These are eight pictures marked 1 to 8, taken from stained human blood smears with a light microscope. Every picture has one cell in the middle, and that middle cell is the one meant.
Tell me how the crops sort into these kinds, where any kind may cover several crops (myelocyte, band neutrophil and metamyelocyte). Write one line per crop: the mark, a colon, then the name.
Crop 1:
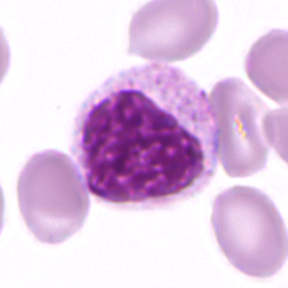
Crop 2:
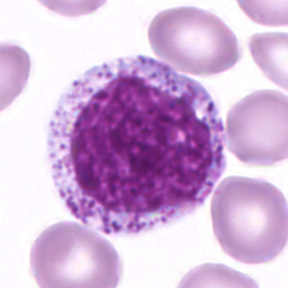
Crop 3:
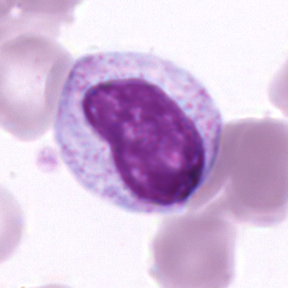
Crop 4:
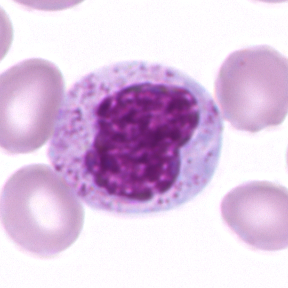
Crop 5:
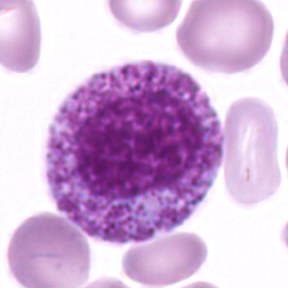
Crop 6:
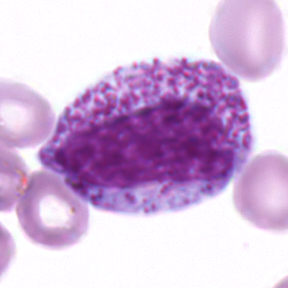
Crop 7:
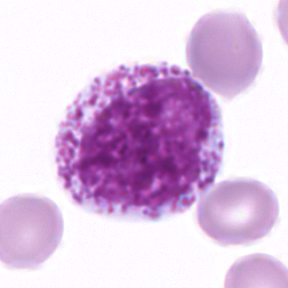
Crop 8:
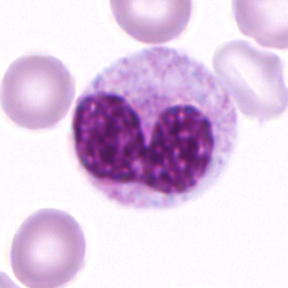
1: metamyelocyte
2: myelocyte
3: myelocyte
4: metamyelocyte
5: myelocyte
6: myelocyte
7: metamyelocyte
8: band neutrophil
